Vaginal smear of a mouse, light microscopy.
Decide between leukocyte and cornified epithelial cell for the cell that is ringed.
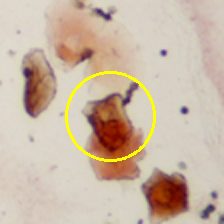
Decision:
I take the ringed cell for a cornified epithelial cell.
